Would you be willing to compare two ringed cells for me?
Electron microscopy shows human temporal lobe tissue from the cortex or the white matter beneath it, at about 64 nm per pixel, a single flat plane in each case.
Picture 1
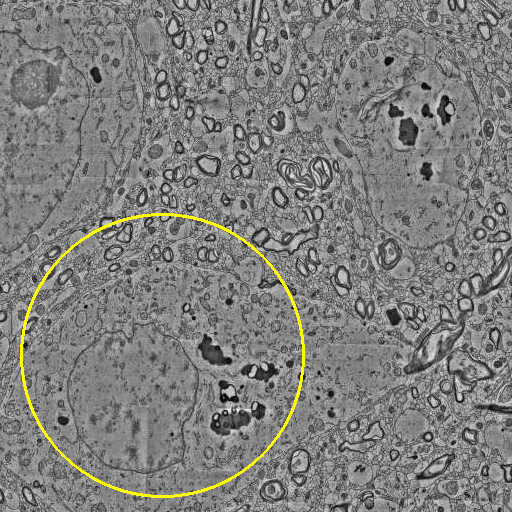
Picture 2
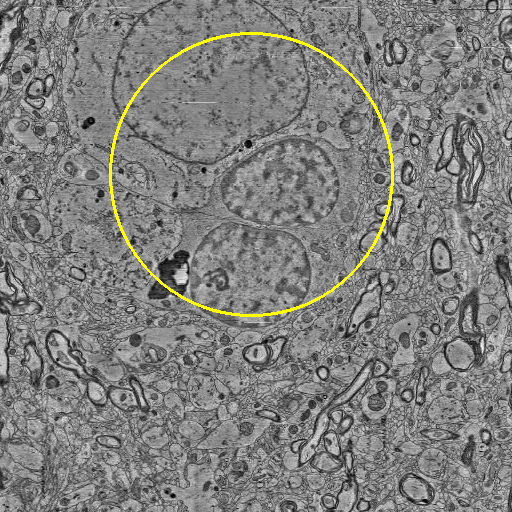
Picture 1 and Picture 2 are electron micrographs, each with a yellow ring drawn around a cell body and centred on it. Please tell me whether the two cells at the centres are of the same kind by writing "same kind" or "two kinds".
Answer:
two kinds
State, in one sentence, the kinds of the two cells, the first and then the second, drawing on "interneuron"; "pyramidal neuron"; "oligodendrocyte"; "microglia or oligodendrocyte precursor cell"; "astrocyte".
The ring in the second picture is centred on an oligodendrocyte, the ring in the first on a pyramidal neuron.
